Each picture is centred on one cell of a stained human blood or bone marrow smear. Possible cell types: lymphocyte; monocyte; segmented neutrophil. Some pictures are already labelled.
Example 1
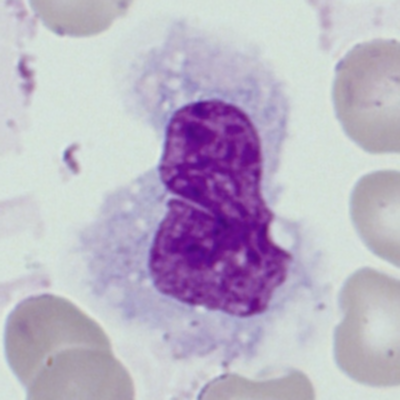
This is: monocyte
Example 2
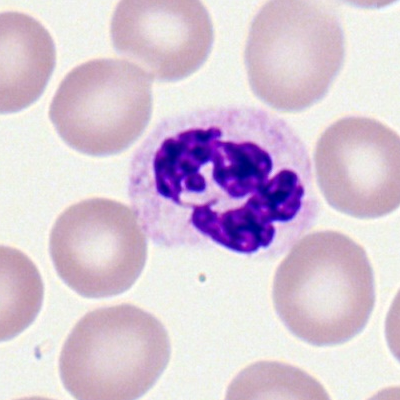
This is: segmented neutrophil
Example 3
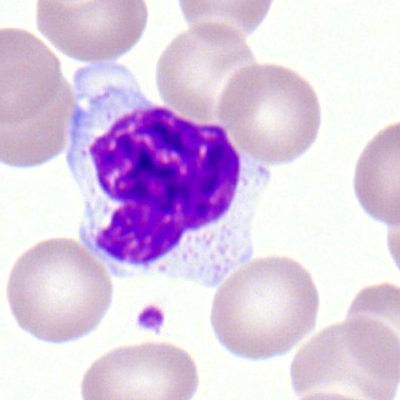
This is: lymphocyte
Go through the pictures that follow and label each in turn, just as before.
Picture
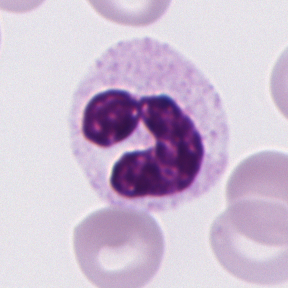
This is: segmented neutrophil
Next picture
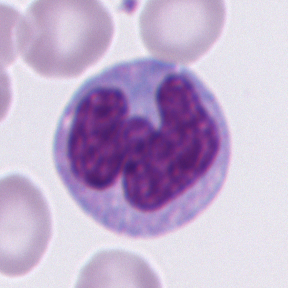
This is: monocyte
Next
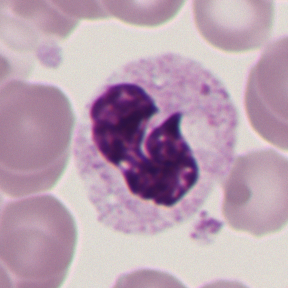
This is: segmented neutrophil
